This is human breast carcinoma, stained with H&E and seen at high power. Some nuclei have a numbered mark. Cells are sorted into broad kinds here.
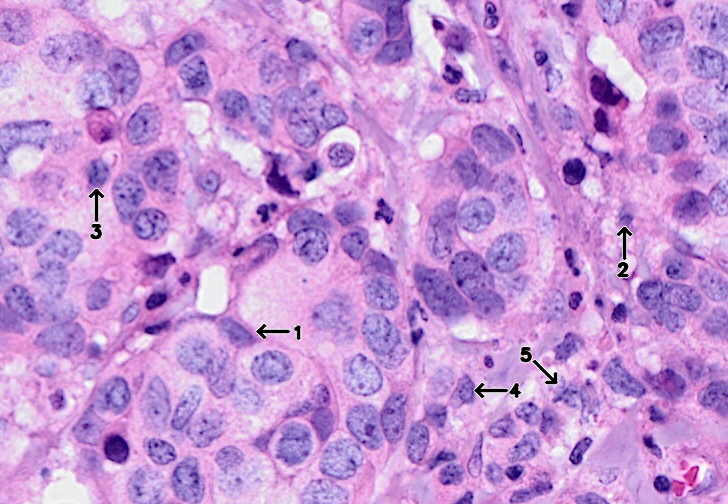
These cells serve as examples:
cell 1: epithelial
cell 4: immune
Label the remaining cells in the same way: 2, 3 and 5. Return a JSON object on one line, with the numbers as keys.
{"2": "immune", "3": "epithelial", "5": "immune"}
